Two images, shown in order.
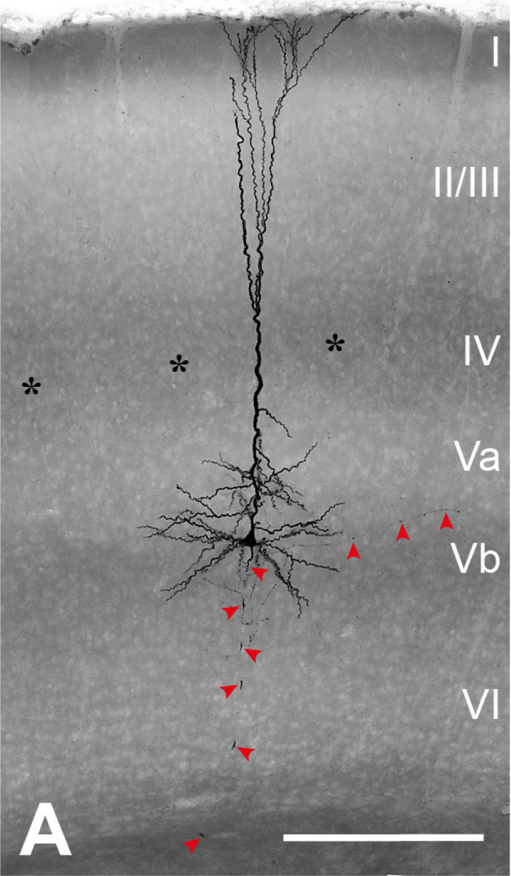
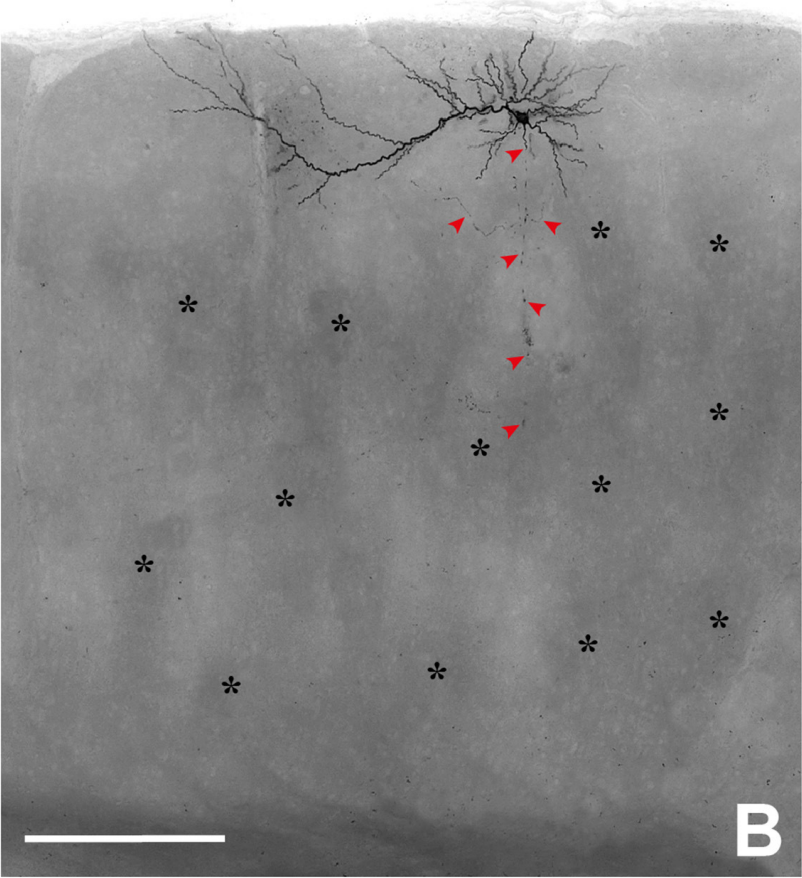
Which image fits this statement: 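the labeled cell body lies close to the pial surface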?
The second image.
